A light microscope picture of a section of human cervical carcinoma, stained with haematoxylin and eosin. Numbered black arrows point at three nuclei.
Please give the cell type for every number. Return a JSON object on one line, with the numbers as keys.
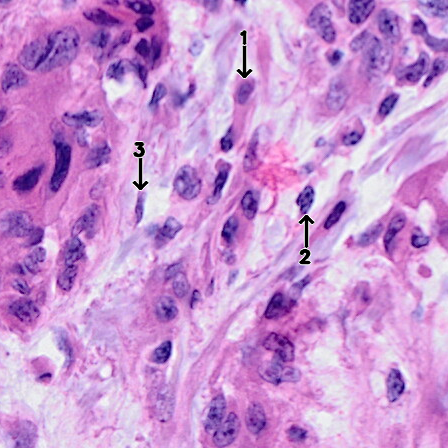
{"1": "macrophage or monocyte", "2": "lymphocyte", "3": "fibroblast"}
